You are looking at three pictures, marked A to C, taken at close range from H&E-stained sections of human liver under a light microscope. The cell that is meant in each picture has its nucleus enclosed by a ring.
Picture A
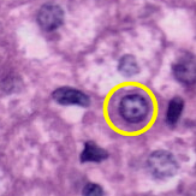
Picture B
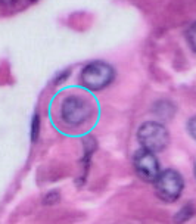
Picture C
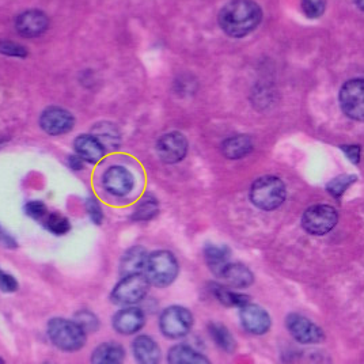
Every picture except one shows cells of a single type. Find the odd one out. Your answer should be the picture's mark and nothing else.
A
